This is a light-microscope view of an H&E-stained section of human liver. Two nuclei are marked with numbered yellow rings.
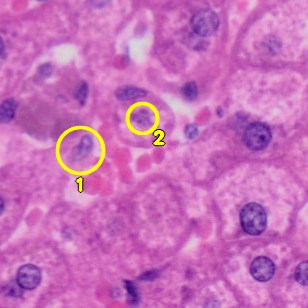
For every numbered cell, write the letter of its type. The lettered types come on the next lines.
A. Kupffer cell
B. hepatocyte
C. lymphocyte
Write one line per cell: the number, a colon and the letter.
1: A
2: B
